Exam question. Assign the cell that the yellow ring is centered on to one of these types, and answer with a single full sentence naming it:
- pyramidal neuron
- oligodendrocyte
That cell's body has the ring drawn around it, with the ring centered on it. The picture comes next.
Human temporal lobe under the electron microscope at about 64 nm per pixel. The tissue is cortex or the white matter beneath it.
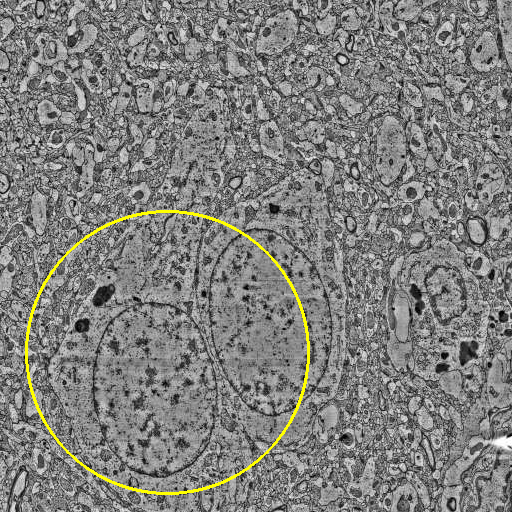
In the micrograph, the cell the yellow ring is centered on is a pyramidal neuron.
